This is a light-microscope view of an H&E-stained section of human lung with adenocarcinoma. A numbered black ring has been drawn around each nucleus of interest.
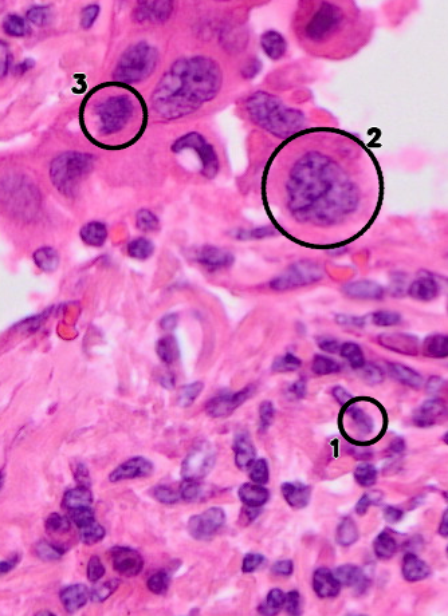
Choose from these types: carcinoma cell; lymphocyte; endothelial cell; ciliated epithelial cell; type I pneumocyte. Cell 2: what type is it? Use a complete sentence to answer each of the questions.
What the number 2 marks in this field is a carcinoma cell.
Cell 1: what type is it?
The nucleus labeled 1 belongs to a lymphocyte.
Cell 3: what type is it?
The cell tagged with 3 in this tissue section is a carcinoma cell.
